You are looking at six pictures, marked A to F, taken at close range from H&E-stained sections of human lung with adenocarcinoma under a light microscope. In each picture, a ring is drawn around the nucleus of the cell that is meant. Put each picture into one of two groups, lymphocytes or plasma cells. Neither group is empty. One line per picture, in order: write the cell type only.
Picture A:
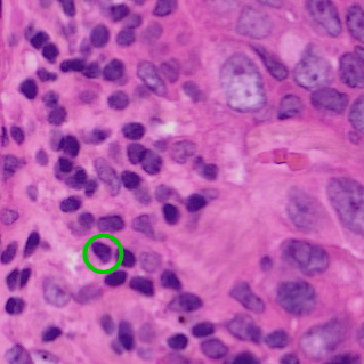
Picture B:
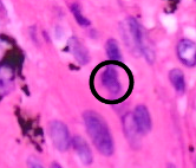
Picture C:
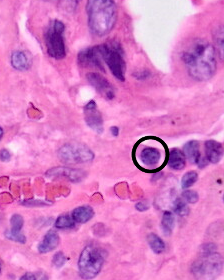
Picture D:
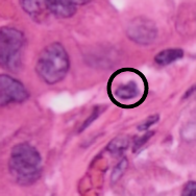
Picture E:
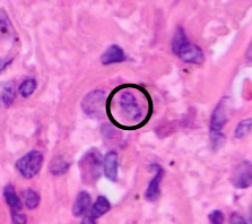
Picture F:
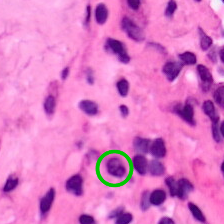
lymphocyte
plasma cell
lymphocyte
lymphocyte
plasma cell
plasma cell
